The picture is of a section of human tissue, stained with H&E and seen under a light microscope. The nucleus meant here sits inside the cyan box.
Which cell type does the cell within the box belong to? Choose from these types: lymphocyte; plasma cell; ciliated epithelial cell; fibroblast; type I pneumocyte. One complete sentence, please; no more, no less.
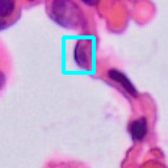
By its classification, the cell within the box is a type I pneumocyte.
